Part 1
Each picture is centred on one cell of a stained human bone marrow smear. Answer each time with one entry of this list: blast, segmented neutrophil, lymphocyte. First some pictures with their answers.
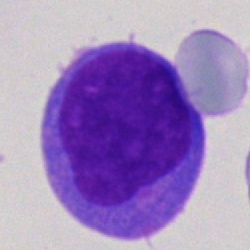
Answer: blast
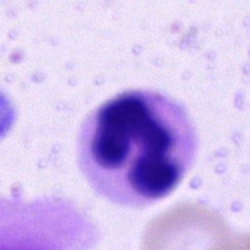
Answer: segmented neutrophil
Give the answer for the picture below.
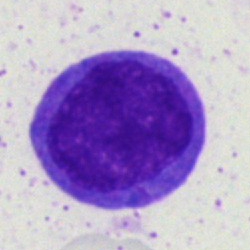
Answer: blast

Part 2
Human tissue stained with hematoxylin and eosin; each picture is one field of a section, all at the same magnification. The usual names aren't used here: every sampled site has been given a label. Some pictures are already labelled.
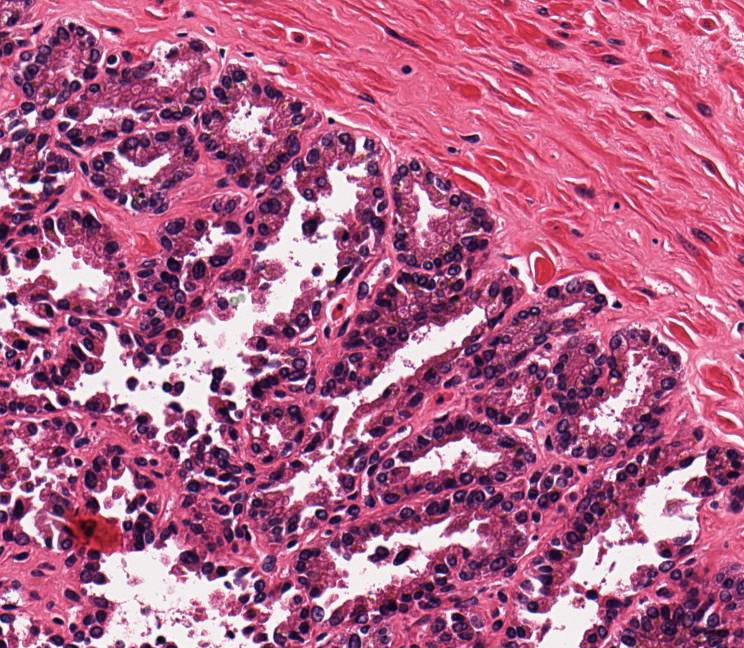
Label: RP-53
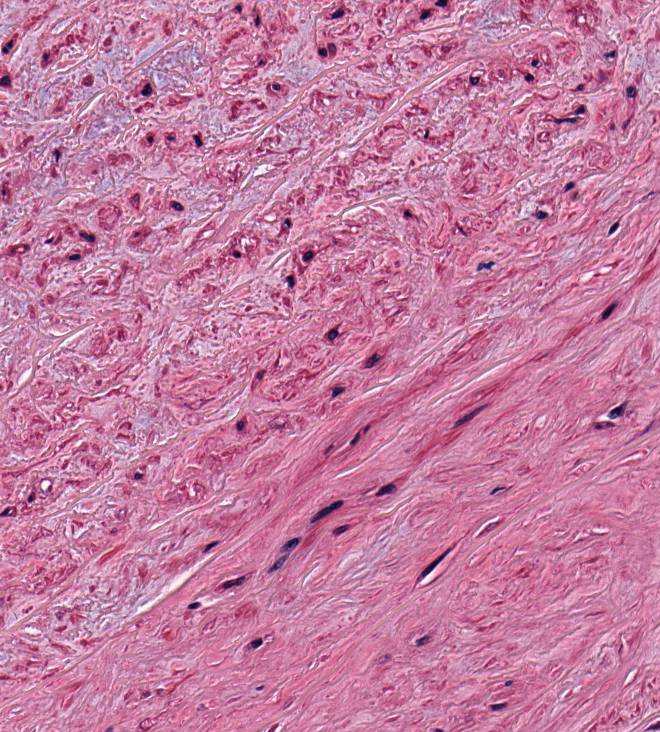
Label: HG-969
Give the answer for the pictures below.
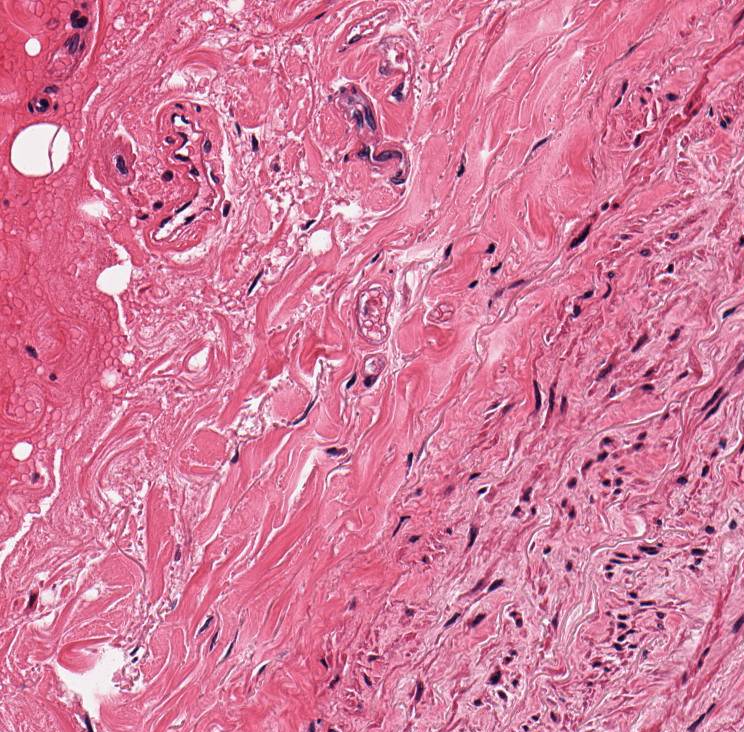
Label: HG-969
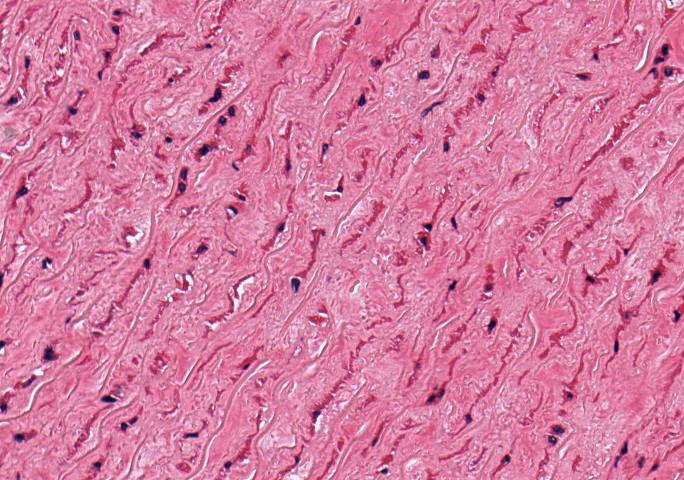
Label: HG-969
